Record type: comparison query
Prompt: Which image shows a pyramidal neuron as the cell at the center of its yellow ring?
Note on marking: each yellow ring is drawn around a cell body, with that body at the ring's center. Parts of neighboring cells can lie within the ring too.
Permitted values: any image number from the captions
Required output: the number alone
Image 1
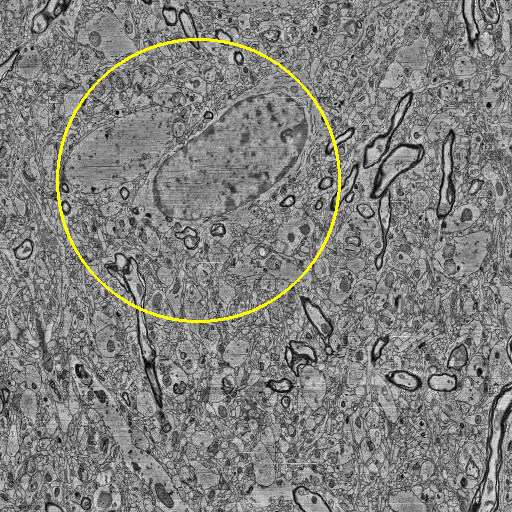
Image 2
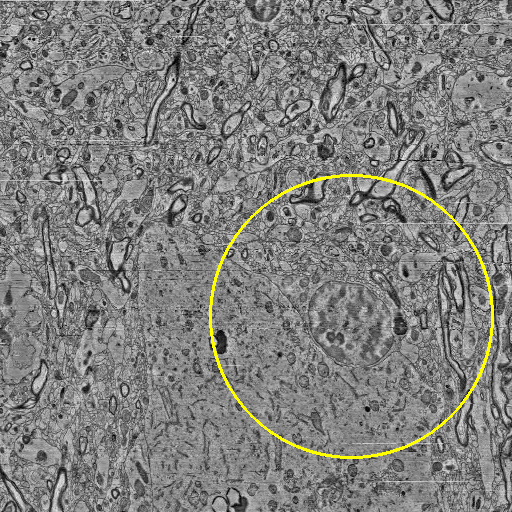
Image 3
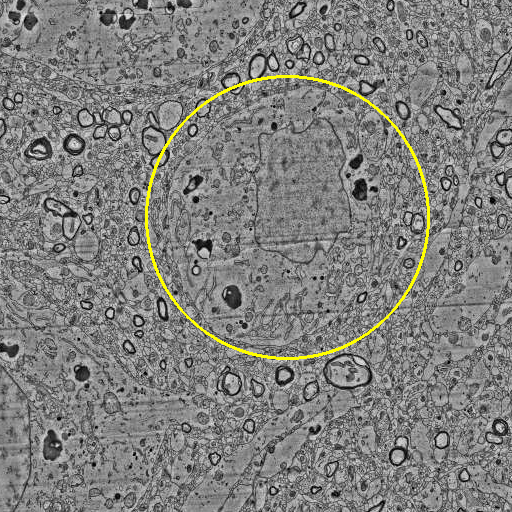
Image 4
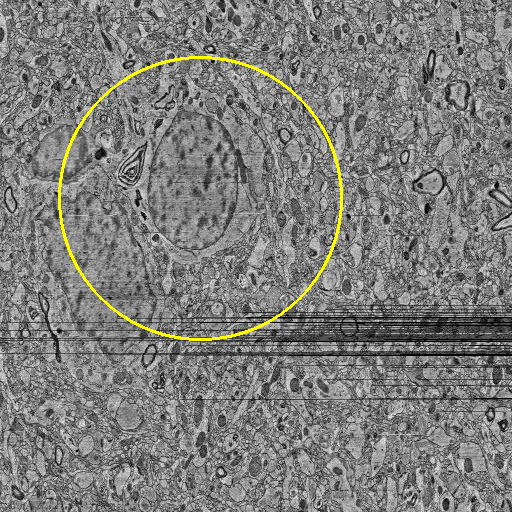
3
